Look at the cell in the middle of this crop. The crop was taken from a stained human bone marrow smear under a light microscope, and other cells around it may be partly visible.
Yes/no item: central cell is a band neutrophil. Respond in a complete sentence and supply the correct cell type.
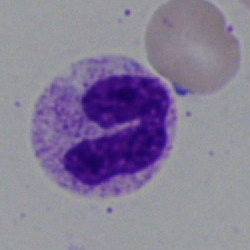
No, the cell at the centre is categorised not as a band neutrophil but as a segmented neutrophil.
